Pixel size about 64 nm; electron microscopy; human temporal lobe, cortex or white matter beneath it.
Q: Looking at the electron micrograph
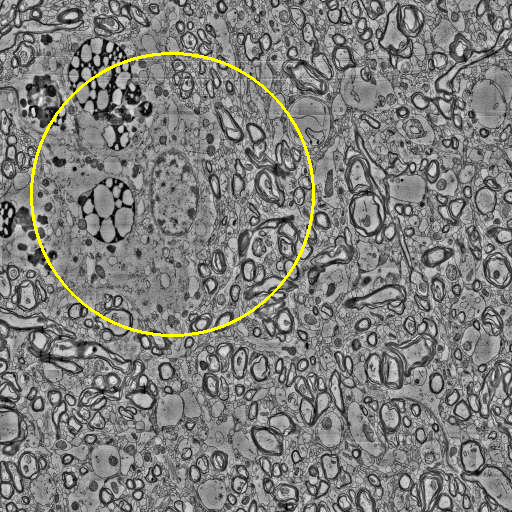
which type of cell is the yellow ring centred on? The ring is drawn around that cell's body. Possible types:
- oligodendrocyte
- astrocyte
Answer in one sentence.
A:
The yellow ring is centred on an astrocyte.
